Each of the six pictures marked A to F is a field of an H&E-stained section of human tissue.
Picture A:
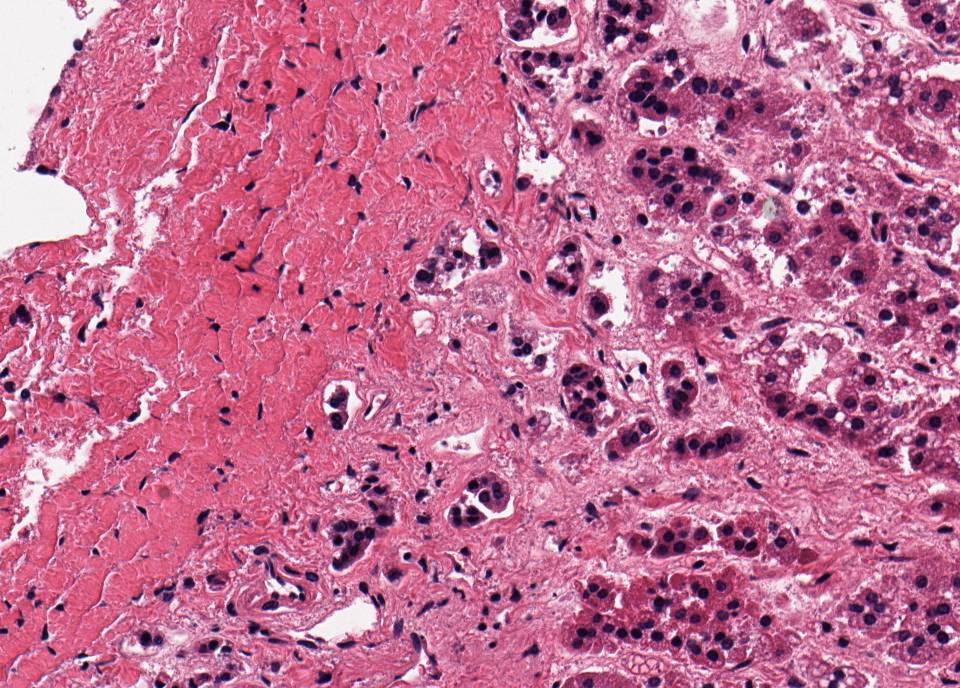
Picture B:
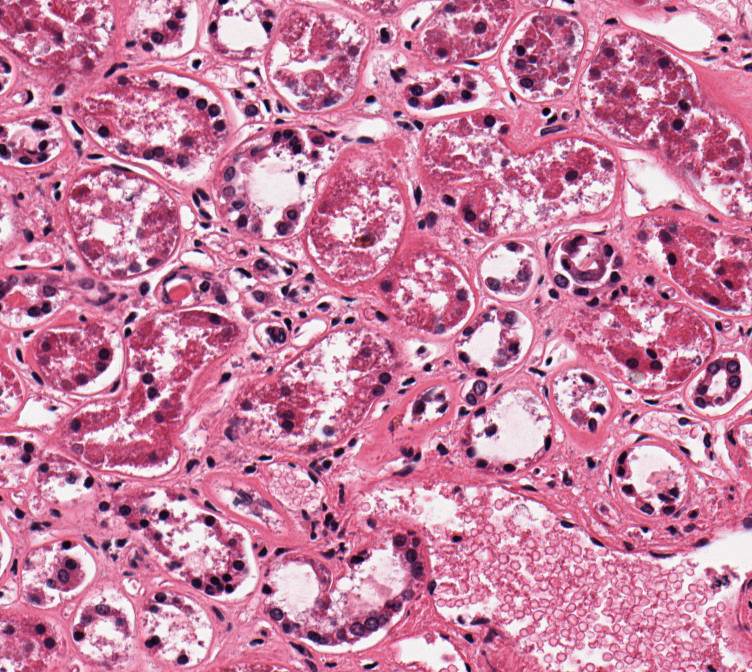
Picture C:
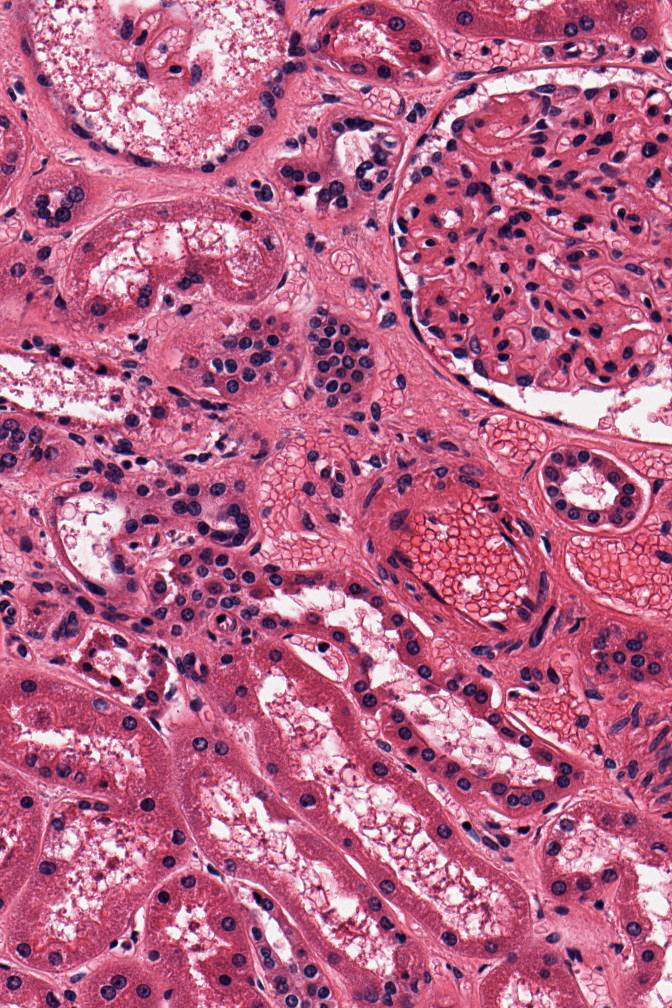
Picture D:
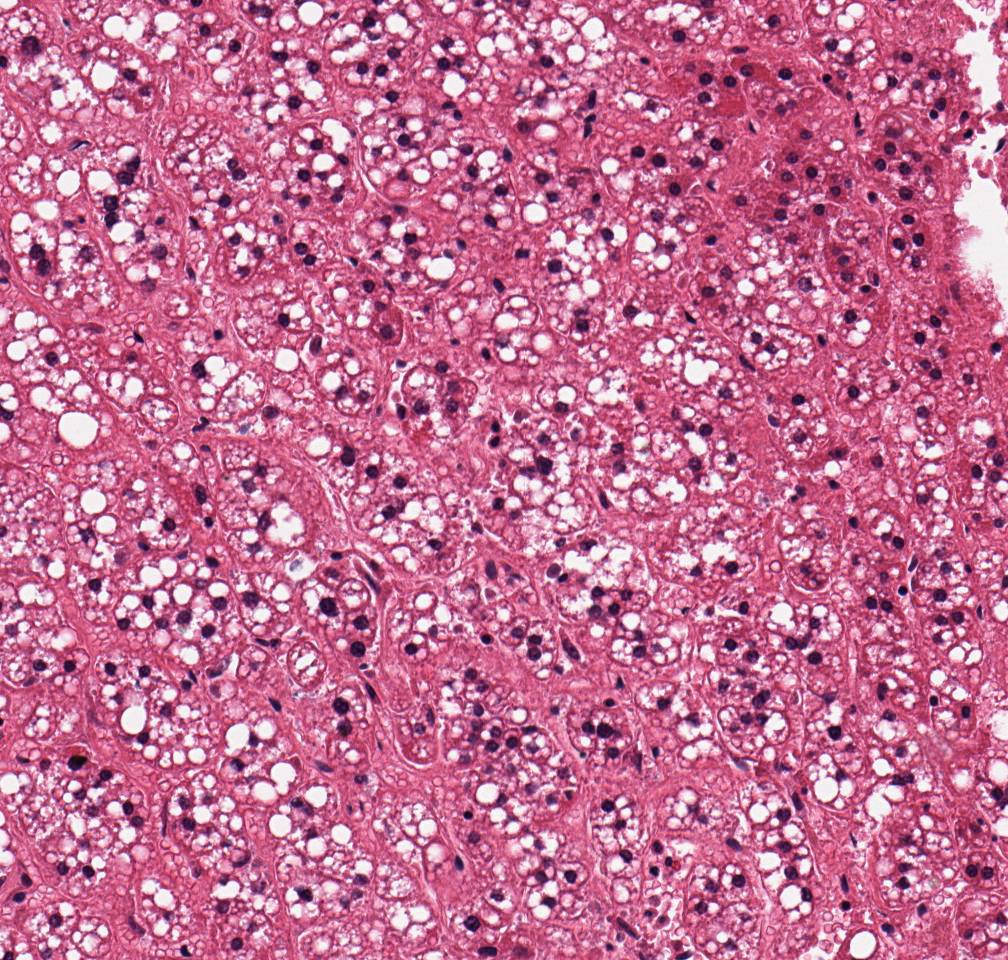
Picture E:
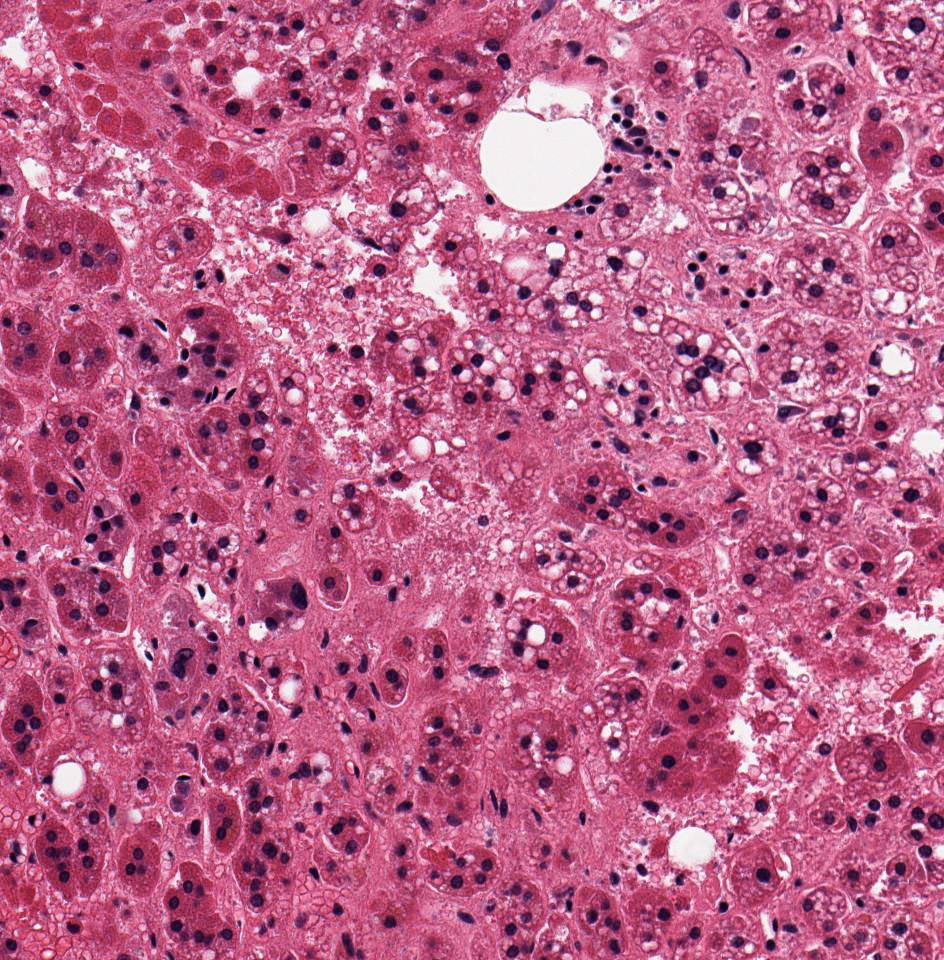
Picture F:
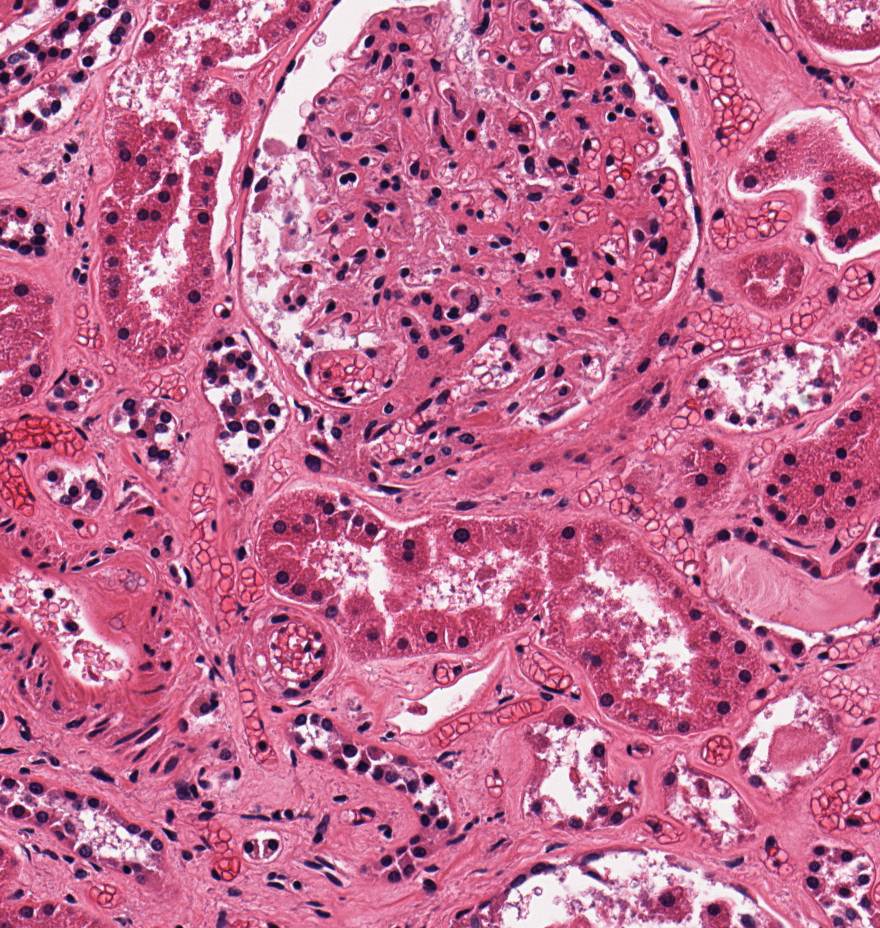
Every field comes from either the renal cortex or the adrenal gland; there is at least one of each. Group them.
A: adrenal gland
B: renal cortex
C: renal cortex
D: adrenal gland
E: adrenal gland
F: renal cortex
